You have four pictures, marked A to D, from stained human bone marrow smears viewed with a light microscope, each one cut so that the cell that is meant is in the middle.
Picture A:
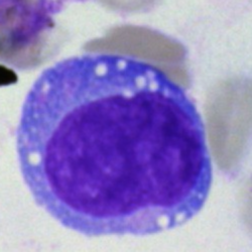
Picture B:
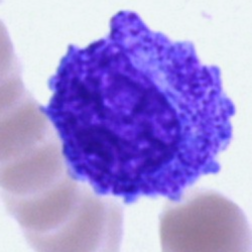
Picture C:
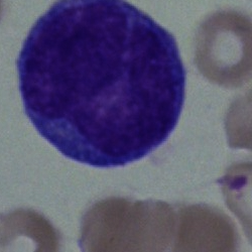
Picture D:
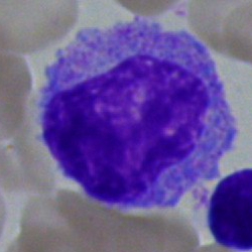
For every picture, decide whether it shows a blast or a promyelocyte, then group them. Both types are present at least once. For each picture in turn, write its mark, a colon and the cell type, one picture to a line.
A: blast
B: promyelocyte
C: blast
D: promyelocyte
